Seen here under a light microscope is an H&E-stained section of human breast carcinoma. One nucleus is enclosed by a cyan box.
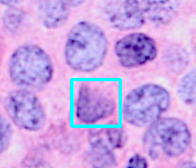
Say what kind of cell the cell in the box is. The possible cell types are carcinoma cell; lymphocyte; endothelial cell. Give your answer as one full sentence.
It is as a carcinoma cell that the cell in the box is classified.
